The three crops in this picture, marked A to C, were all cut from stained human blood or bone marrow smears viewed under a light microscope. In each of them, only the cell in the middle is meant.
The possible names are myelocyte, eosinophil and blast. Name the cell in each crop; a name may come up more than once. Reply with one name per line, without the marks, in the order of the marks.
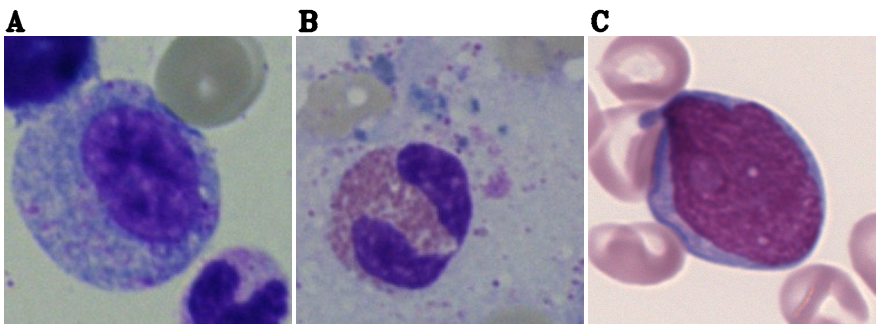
myelocyte
eosinophil
blast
